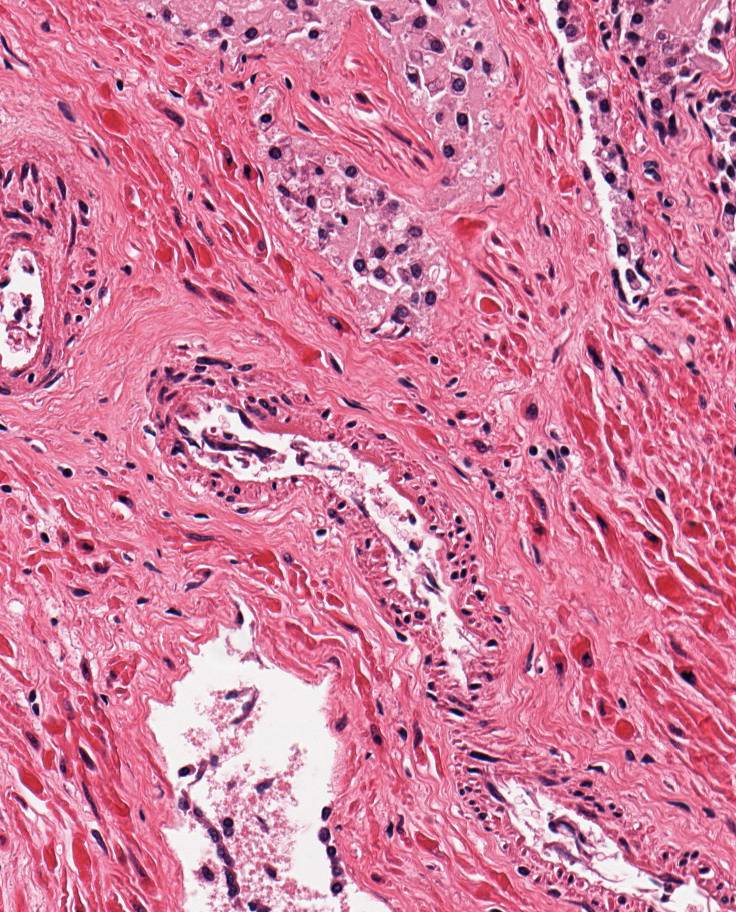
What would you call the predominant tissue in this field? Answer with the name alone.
fibromuscular stroma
